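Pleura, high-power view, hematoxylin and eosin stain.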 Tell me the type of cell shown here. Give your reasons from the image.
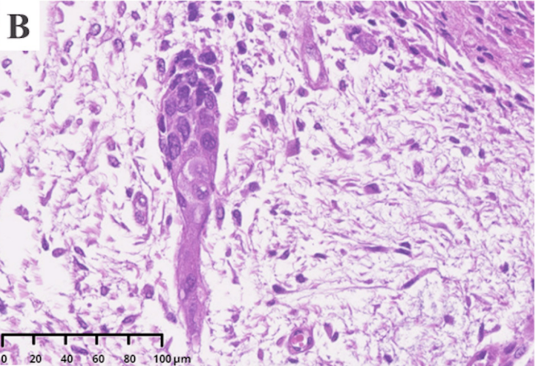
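Malignant cells. A cluster of large cells with big, dark nuclei lies within loose pale stroma. These cells are much larger than the surrounding spindle-shaped stromal cells.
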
